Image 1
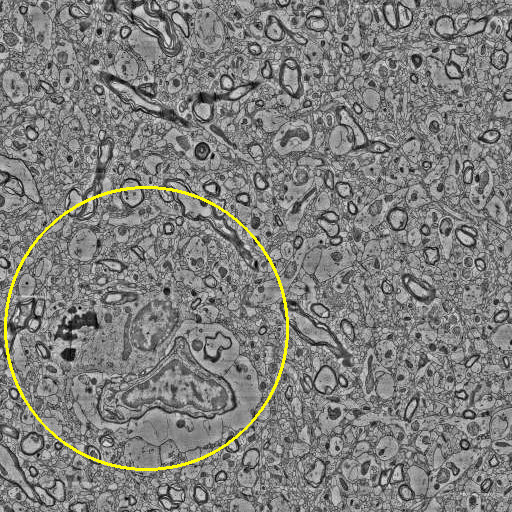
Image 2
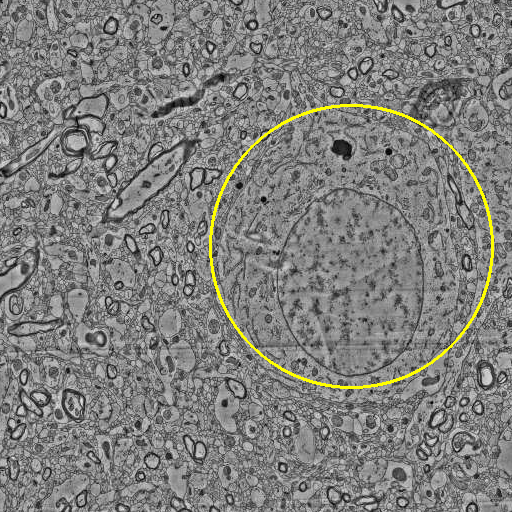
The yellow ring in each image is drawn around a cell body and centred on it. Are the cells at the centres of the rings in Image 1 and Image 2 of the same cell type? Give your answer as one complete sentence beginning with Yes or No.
No, the two cells are of two separate types.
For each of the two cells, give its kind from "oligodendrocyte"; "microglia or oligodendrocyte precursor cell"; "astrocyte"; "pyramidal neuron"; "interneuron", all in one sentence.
The first picture has an oligodendrocyte in its ring, the second has a pyramidal neuron.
